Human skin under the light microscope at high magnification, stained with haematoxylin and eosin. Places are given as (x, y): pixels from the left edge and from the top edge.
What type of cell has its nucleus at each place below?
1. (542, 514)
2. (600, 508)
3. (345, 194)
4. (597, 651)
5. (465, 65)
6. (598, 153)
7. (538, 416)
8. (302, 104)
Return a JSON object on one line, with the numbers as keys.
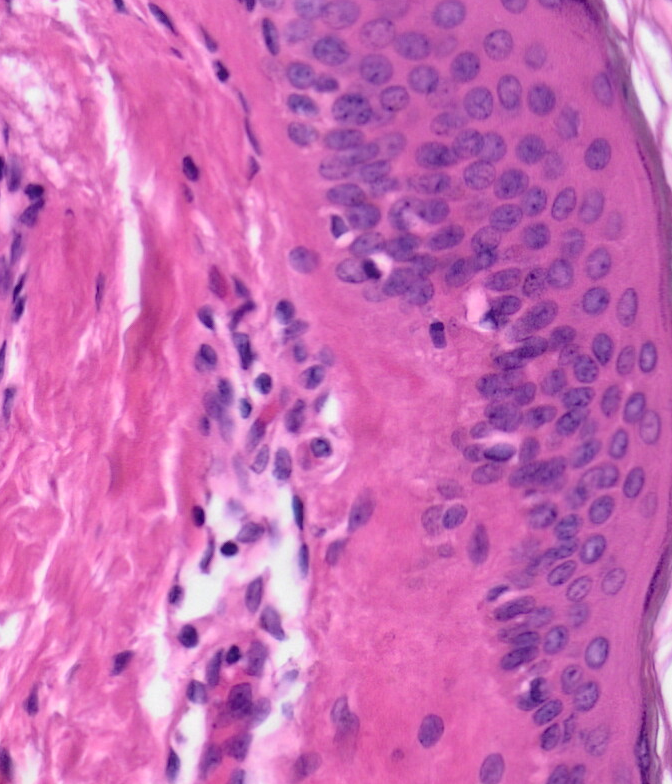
{"1": "basal keratinocyte", "2": "suprabasal keratinocyte", "3": "basal keratinocyte", "4": "suprabasal keratinocyte", "5": "suprabasal keratinocyte", "6": "suprabasal keratinocyte", "7": "basal keratinocyte", "8": "basal keratinocyte"}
